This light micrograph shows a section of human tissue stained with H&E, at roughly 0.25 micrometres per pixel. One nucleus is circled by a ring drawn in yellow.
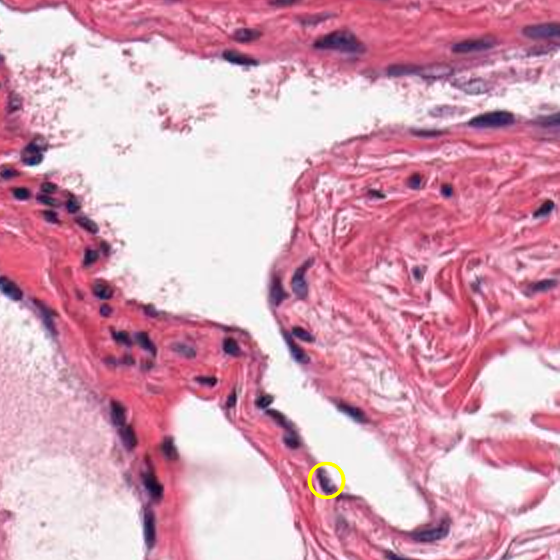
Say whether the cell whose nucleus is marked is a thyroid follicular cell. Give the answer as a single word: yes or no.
no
